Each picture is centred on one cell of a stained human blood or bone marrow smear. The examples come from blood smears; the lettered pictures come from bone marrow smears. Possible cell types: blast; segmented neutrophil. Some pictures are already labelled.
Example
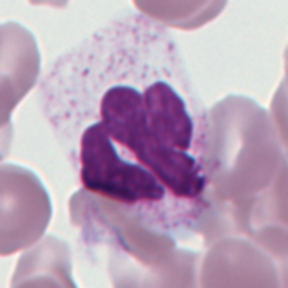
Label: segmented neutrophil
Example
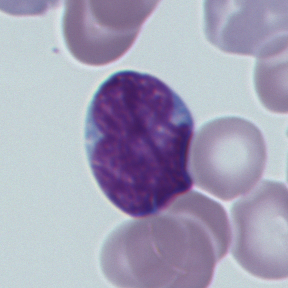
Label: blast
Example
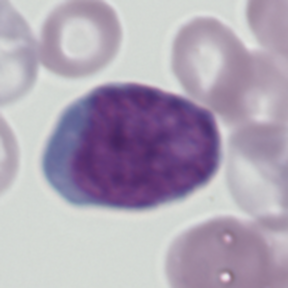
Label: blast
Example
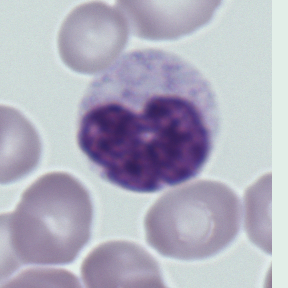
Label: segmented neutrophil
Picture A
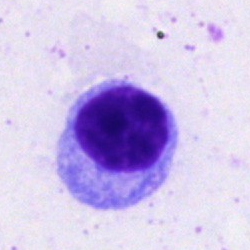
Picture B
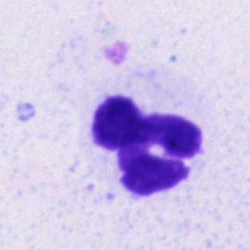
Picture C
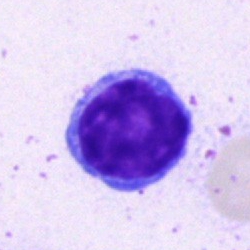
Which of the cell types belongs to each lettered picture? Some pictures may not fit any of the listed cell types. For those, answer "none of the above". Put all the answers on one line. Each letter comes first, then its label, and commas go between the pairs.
A none of the above, B segmented neutrophil, C none of the above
